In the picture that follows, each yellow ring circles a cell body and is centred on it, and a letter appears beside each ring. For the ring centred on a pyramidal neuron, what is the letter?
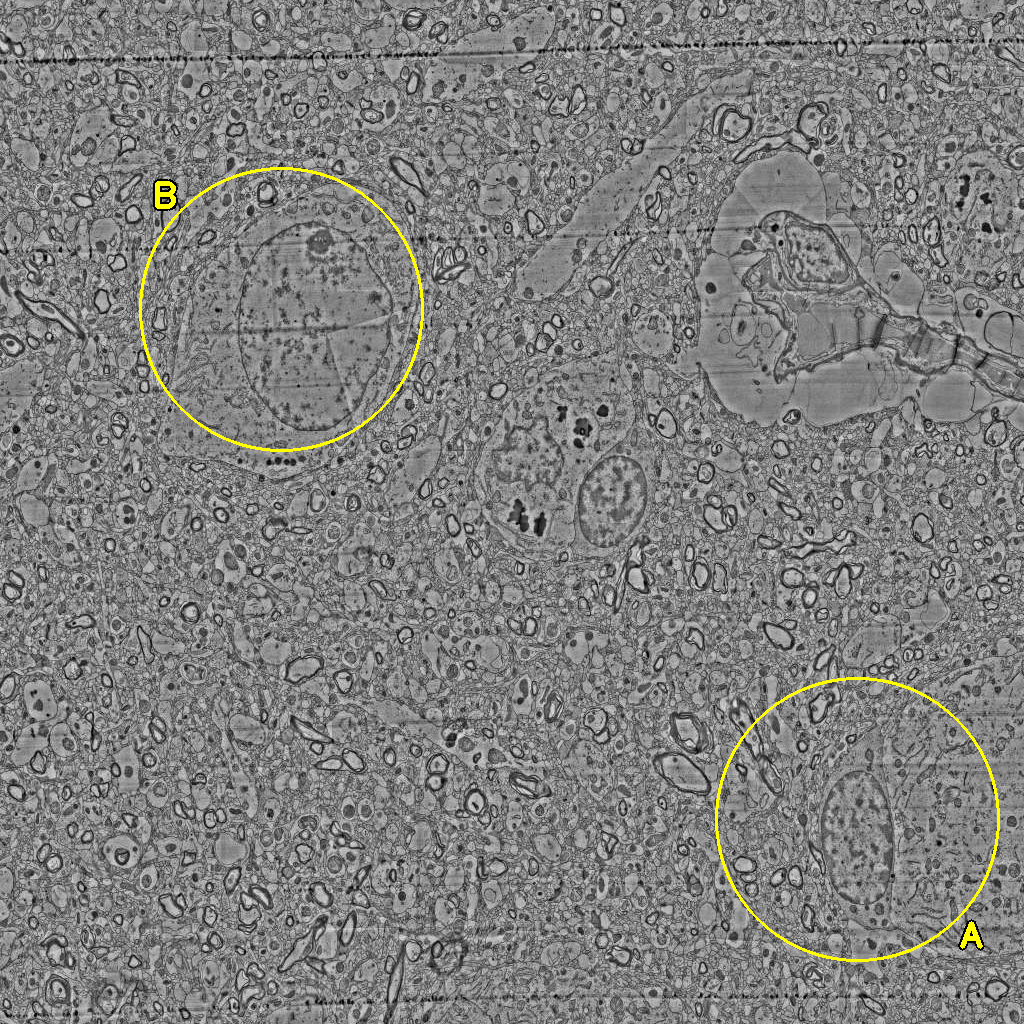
B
